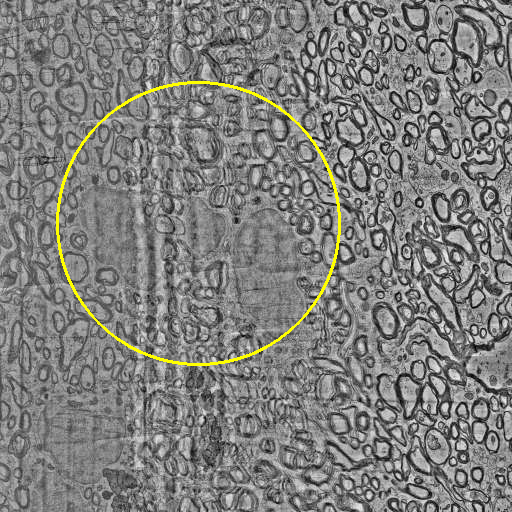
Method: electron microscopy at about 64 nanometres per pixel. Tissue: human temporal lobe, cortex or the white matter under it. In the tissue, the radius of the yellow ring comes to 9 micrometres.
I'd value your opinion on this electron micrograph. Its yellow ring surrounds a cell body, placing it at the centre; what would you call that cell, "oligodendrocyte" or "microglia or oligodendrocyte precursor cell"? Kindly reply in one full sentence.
It is an oligodendrocyte that sits centred within the yellow ring in this micrograph.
